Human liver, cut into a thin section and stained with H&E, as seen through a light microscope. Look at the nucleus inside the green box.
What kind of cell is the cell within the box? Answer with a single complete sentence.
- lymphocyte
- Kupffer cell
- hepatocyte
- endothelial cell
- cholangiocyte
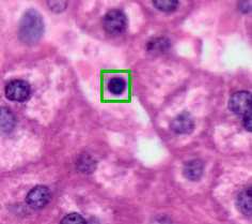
So far as cell type goes, the cell within the box is a lymphocyte.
